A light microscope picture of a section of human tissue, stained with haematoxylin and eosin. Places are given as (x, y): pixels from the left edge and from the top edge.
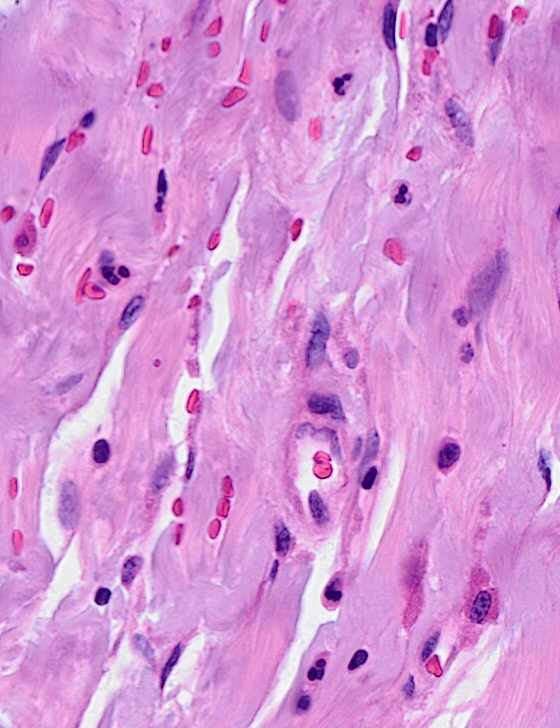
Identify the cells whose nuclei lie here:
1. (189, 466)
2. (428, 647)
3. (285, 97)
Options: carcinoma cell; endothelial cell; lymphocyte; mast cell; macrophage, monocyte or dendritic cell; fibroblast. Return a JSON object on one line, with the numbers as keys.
{"1": "fibroblast", "2": "endothelial cell", "3": "fibroblast"}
